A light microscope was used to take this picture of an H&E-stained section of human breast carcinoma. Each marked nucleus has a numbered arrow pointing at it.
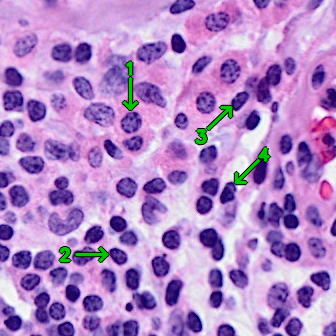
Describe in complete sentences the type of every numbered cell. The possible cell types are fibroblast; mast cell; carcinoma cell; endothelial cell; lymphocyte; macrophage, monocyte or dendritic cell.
Cell 1 is a mast cell, cell 2 is a lymphocyte, cell 3 is a lymphocyte and cell 4 is a lymphocyte.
